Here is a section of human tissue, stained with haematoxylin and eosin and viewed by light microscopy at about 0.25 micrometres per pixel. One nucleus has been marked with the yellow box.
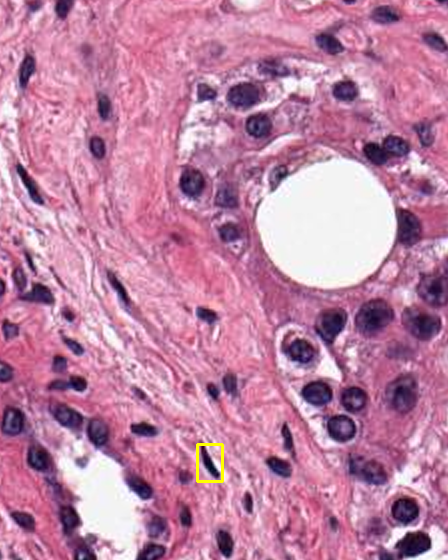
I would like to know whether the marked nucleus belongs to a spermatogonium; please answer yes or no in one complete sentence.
No, the marked nucleus lies within a supporting cell, not within a spermatogonium.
